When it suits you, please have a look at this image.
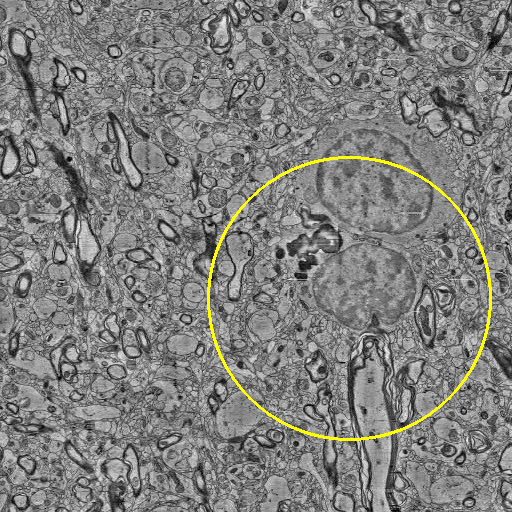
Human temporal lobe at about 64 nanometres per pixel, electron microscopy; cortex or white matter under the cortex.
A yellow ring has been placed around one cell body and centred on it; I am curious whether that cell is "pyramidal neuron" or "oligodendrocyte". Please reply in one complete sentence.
The ringed cell, an oligodendrocyte, has its body at the centre of the yellow ring.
